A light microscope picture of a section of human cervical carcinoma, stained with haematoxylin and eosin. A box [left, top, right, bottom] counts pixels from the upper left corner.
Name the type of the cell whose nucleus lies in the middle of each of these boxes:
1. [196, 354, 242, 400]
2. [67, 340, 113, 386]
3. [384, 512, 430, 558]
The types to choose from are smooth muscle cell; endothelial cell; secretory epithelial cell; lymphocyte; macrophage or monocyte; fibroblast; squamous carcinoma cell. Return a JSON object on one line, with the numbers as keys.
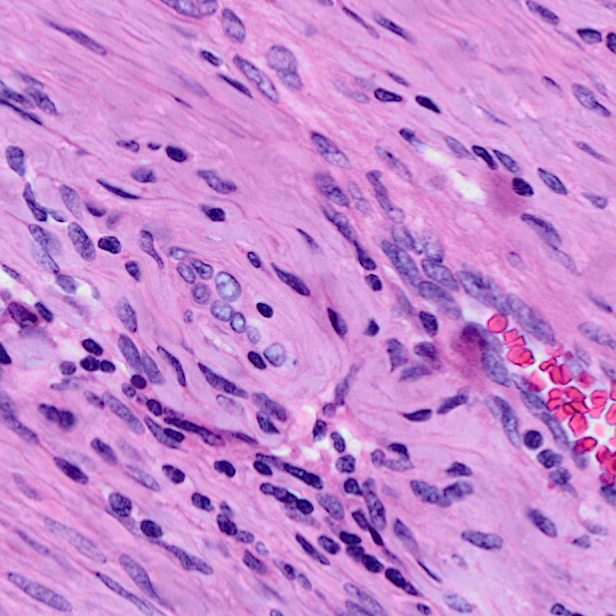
{"1": "fibroblast", "2": "lymphocyte", "3": "fibroblast"}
